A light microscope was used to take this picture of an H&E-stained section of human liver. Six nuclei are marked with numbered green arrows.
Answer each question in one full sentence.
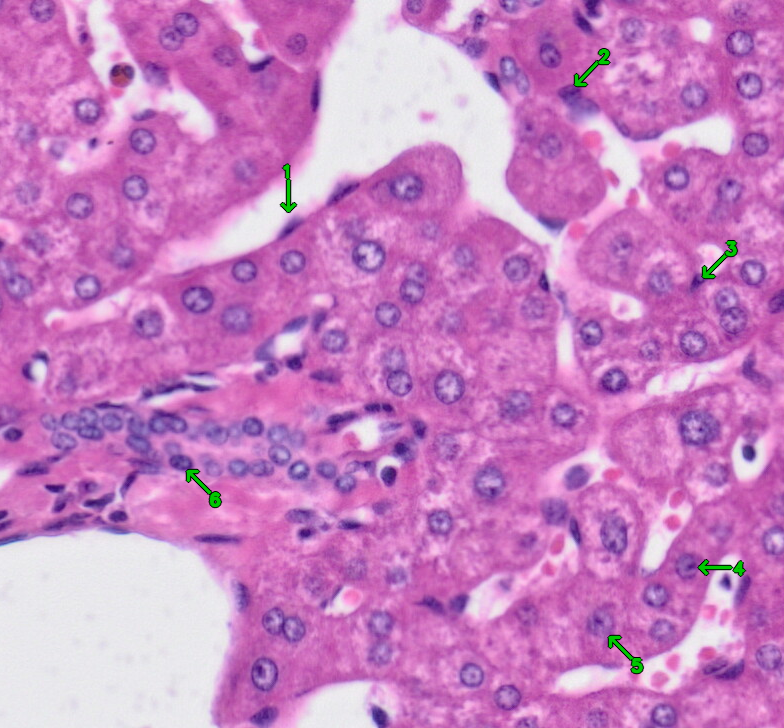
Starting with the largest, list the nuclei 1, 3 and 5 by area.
By area, largest first, they run 5, 1, 3.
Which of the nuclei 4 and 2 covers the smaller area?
It is nucleus 2; nucleus 4 has about 1.5 times its area.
